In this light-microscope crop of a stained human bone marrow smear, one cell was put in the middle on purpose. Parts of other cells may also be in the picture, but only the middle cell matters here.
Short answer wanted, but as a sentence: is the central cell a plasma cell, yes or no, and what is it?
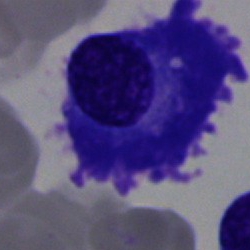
Yes, the centered cell in this field is a plasma cell.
